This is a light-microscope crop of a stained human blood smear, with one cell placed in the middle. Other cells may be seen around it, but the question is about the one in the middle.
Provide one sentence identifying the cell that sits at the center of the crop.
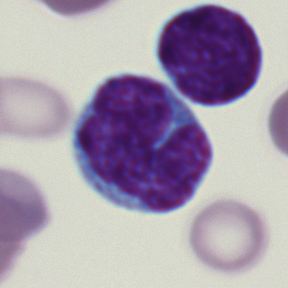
Seen at the centre of the crop is a monocyte.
